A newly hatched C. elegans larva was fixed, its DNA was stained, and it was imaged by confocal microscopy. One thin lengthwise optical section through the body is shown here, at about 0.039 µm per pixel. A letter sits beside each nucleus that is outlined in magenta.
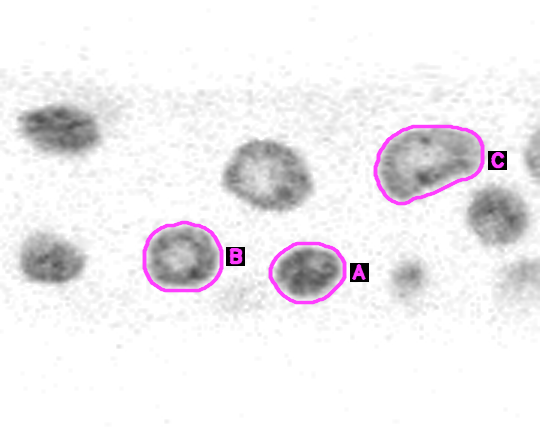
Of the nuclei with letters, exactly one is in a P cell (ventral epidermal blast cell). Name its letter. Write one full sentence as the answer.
A is the nucleus of a P cell (ventral epidermal blast cell).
